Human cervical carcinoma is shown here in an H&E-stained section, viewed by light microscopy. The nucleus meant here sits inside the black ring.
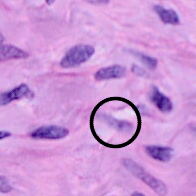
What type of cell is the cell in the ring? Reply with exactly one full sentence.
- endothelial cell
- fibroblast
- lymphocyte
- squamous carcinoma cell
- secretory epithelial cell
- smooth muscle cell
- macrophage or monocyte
The identity of the cell in the ring: it is a fibroblast.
